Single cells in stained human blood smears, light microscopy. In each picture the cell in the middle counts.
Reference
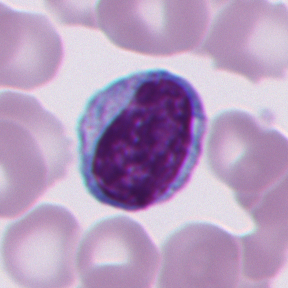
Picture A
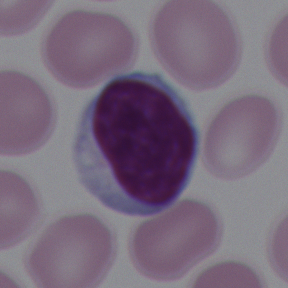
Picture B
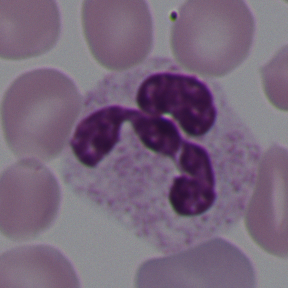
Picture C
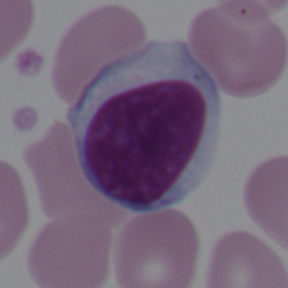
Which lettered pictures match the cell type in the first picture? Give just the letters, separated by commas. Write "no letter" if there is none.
A, C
